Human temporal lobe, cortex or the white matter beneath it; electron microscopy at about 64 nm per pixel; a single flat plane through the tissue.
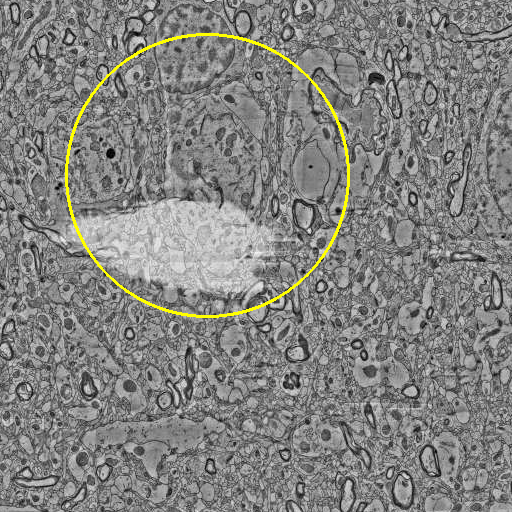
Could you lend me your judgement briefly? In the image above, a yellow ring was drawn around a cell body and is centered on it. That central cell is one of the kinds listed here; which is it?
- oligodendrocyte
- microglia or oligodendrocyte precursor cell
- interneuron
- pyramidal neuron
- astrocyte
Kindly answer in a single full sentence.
Going by the list, an interneuron is the kind at the ring's center in the picture.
